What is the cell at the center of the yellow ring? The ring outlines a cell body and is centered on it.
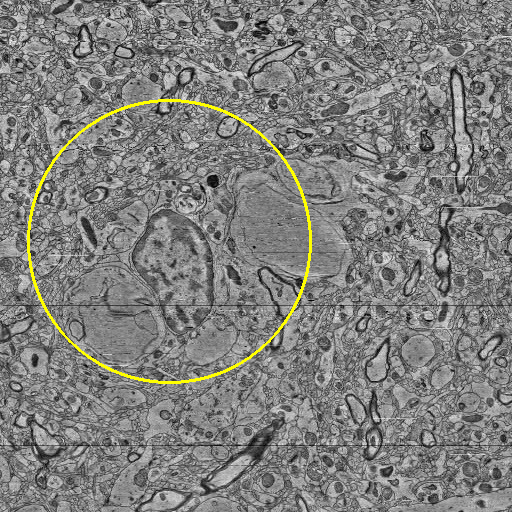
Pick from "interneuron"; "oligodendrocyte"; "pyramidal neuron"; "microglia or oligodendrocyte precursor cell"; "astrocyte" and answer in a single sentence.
The yellow ring is centered on a microglial cell or oligodendrocyte precursor cell.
